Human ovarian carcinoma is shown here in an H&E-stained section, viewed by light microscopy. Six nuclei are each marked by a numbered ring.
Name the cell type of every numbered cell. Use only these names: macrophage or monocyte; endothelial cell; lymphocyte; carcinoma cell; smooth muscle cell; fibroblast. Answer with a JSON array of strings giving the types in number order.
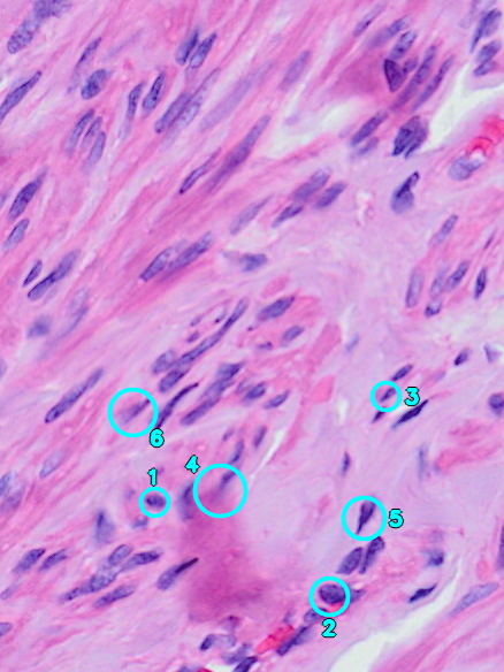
["smooth muscle cell", "endothelial cell", "smooth muscle cell", "smooth muscle cell", "fibroblast", "smooth muscle cell"]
